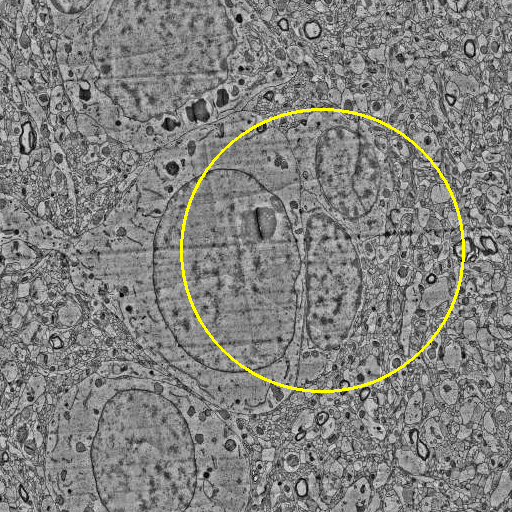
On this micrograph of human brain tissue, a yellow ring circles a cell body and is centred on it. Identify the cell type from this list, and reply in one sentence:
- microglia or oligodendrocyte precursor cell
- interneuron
The cell at the centre is a microglial cell or oligodendrocyte precursor cell.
